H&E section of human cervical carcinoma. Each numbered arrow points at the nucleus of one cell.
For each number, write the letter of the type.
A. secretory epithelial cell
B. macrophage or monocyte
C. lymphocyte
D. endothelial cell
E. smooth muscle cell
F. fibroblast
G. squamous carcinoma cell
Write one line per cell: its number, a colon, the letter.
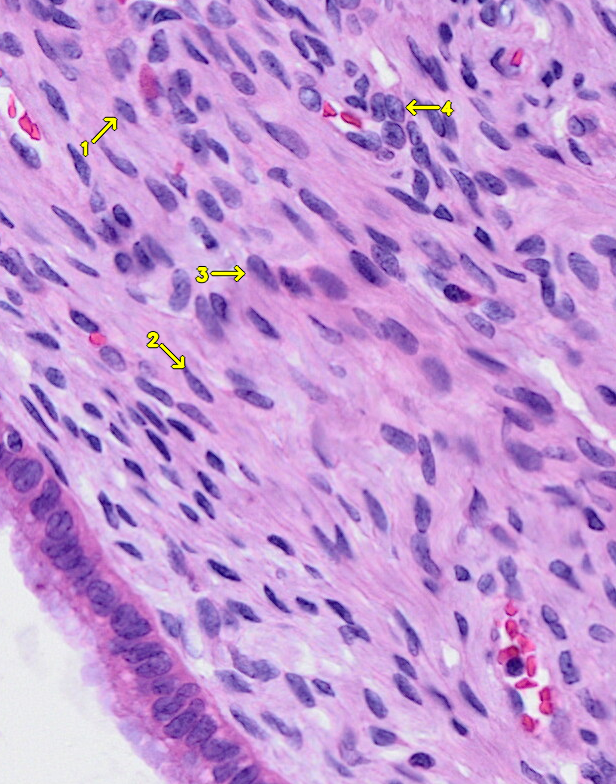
1: F
2: F
3: F
4: D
